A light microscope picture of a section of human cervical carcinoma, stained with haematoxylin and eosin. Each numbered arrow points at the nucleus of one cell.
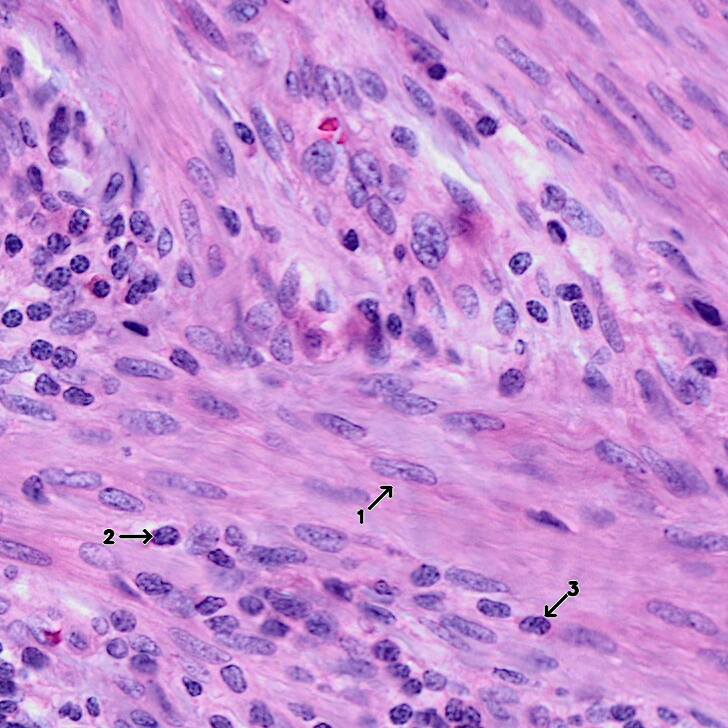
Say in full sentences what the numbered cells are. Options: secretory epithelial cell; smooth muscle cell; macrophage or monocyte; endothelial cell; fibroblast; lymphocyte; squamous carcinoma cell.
Cell 1 is a smooth muscle cell. Cells 2 and 3 are lymphocytes.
